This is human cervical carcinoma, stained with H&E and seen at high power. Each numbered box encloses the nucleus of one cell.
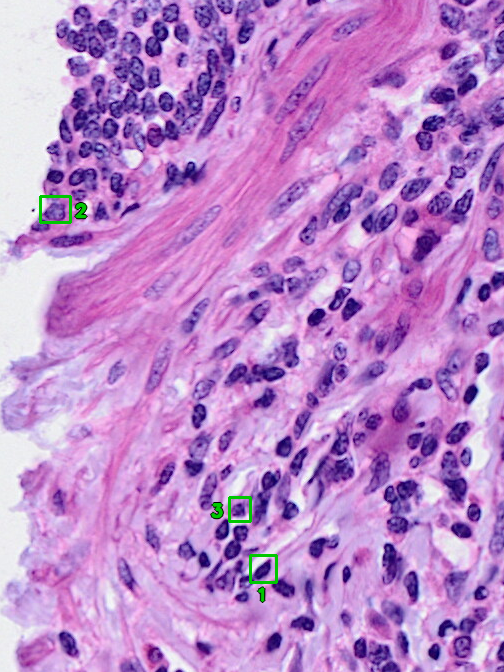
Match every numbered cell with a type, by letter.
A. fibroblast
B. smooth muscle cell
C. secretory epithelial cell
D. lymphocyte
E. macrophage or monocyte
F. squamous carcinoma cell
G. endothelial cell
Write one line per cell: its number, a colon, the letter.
1: D
2: G
3: D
